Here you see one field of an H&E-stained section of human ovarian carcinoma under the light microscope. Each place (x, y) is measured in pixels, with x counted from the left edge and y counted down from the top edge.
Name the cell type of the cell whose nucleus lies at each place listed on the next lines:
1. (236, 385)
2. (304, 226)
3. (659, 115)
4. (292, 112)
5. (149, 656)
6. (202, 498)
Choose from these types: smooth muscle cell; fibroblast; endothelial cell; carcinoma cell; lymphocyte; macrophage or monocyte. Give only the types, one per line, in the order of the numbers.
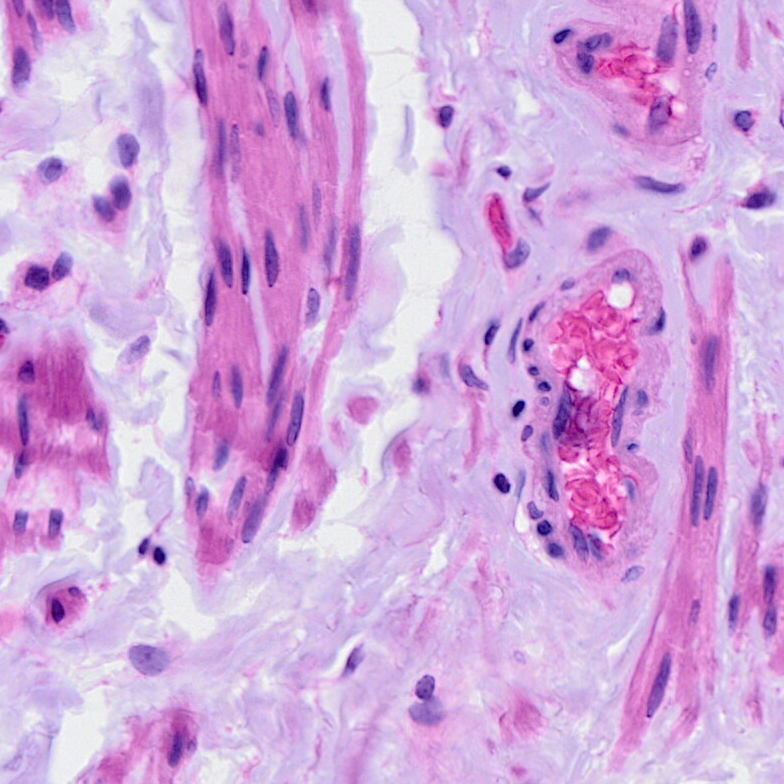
smooth muscle cell
smooth muscle cell
endothelial cell
smooth muscle cell
fibroblast
smooth muscle cell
